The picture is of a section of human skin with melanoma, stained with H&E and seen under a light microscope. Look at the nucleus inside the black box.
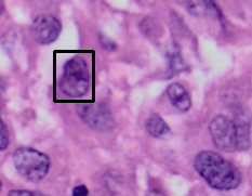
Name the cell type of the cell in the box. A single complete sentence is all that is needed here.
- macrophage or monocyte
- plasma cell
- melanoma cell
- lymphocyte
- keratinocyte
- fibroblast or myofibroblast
As a matter of cell type, the cell in the box is a melanoma cell.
